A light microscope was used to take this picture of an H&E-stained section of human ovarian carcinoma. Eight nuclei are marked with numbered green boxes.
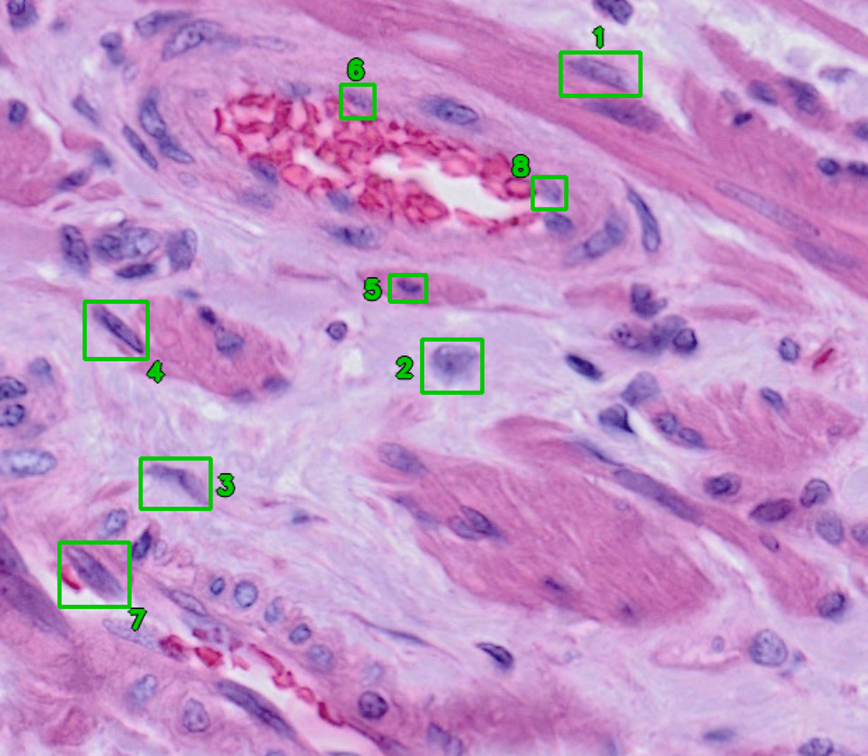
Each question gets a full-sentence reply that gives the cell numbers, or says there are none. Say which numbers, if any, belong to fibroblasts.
The cells bearing the numbers 2 and 3 are fibroblasts.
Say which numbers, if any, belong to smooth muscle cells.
The cells 1, 4 and 5 in this section are smooth muscle cells.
